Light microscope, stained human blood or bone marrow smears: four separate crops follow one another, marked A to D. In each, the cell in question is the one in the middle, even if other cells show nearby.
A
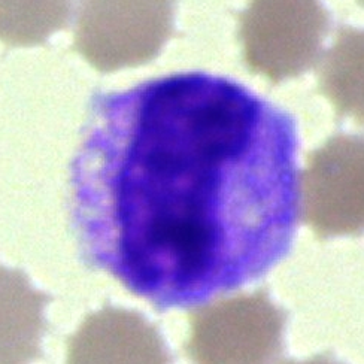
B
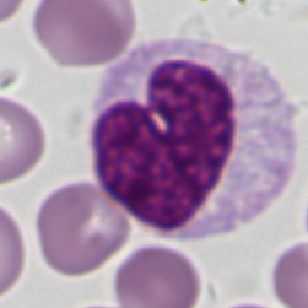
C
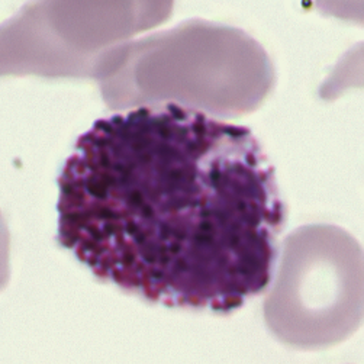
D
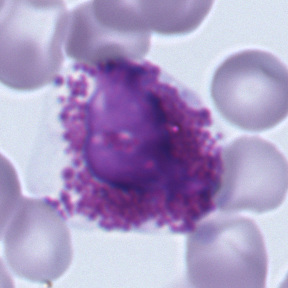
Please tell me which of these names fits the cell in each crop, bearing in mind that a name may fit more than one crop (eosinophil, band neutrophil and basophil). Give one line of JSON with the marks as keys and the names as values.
{"A": "band neutrophil", "B": "band neutrophil", "C": "basophil", "D": "eosinophil"}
